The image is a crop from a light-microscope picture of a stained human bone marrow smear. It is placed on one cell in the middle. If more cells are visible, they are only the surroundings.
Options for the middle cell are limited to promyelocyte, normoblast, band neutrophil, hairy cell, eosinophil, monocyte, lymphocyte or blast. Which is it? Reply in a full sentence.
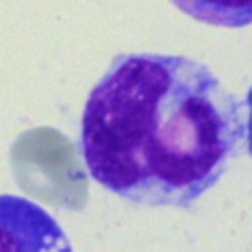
As for the central cell, it is a monocyte.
